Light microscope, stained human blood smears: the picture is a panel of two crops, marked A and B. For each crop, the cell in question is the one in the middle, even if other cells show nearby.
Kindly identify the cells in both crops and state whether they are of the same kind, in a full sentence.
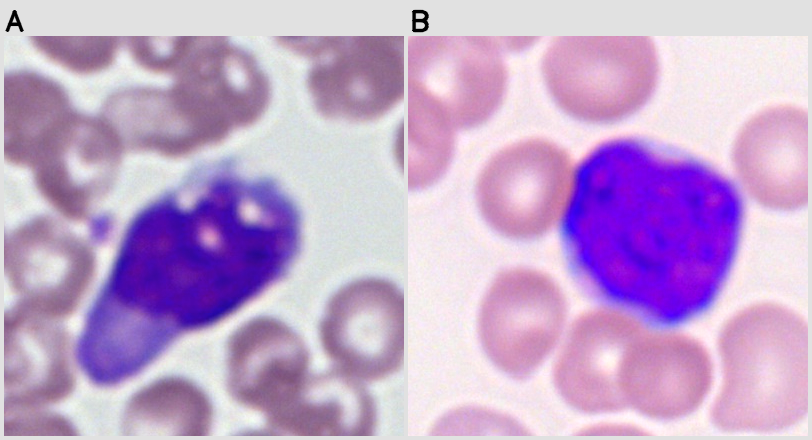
No, in this case crop A shows a monocyte, and crop B shows a myeloblast.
